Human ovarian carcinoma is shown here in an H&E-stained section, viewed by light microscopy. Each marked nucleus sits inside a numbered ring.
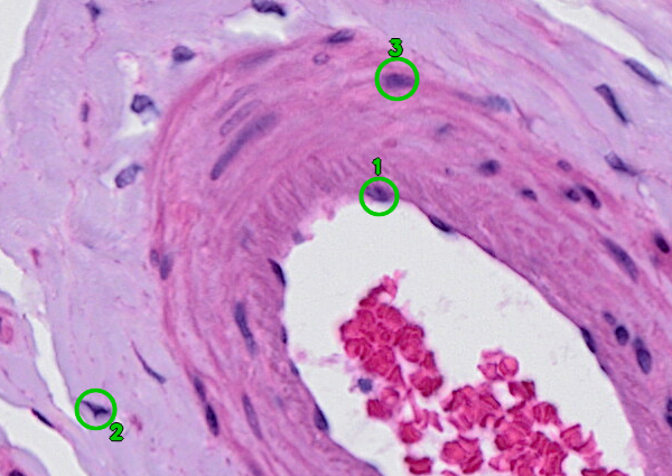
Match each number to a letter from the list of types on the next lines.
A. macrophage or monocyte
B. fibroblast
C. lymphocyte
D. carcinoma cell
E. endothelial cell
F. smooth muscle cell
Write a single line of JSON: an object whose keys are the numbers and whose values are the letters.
{"1": "E", "2": "B", "3": "F"}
